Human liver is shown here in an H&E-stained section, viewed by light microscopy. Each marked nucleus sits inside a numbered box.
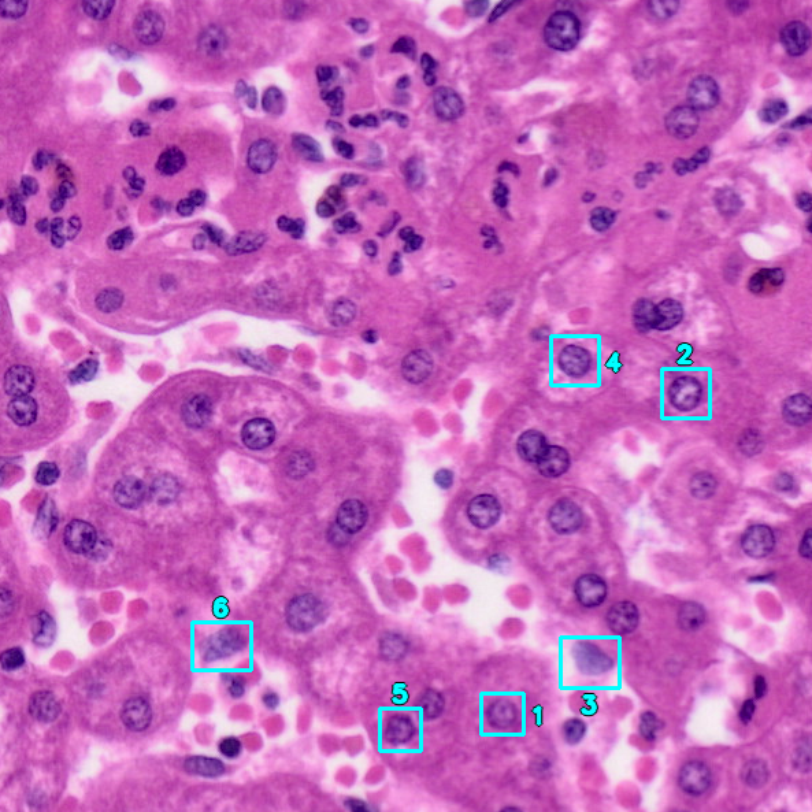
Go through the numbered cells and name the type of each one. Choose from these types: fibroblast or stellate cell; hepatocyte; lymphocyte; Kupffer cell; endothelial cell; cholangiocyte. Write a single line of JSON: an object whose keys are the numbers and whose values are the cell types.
{"1": "hepatocyte", "2": "hepatocyte", "3": "endothelial cell", "4": "hepatocyte", "5": "hepatocyte", "6": "endothelial cell"}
